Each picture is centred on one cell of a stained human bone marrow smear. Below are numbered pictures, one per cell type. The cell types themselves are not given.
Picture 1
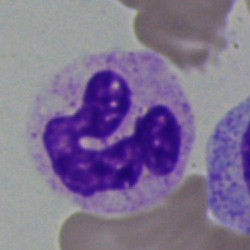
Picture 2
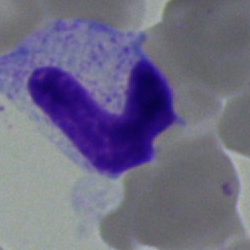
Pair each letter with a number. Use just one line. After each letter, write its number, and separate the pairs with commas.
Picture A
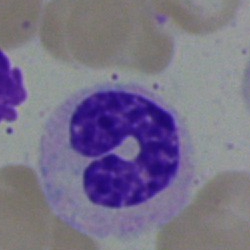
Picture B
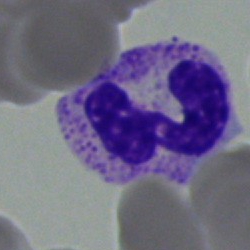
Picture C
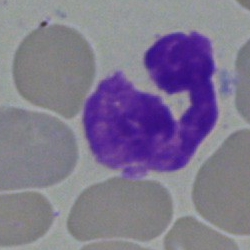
A 2, B 2, C 1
